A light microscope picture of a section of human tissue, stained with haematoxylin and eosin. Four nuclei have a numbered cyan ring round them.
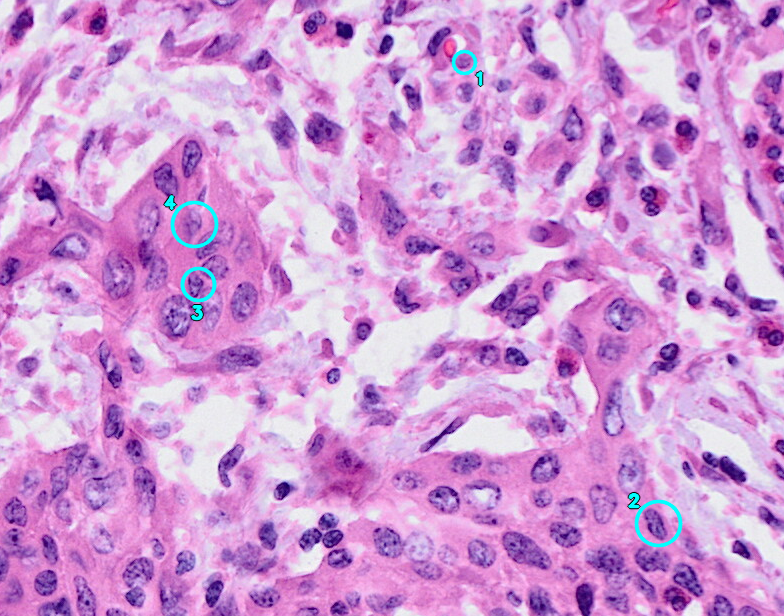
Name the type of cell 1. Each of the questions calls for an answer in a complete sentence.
The cell given label 1 is an endothelial cell.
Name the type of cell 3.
Number 3 among the marked cells is a squamous carcinoma cell.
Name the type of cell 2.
The cell marked with the number 2 is a squamous carcinoma cell.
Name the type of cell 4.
The cell referenced by the number 4 is a squamous carcinoma cell in this field.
